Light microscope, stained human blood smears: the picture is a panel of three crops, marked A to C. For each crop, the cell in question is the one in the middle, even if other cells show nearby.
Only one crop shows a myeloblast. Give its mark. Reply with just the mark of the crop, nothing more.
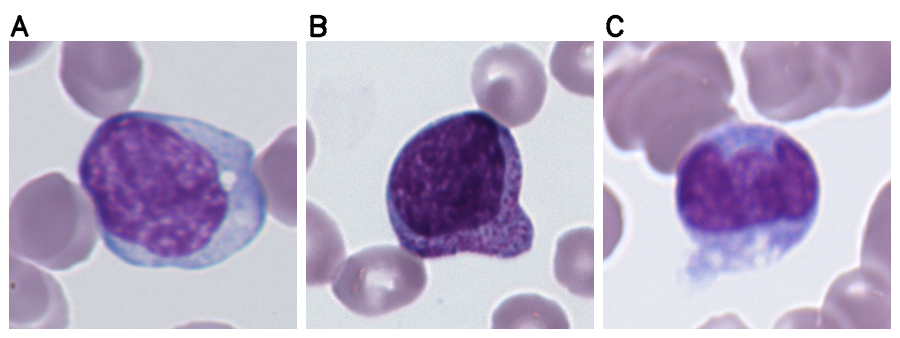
A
